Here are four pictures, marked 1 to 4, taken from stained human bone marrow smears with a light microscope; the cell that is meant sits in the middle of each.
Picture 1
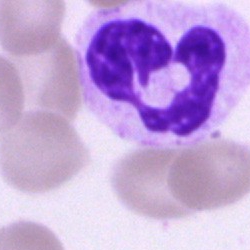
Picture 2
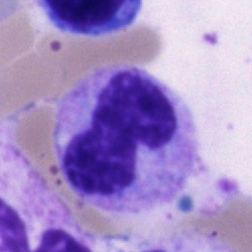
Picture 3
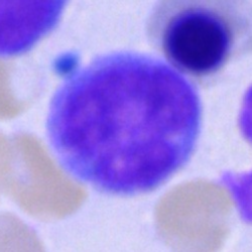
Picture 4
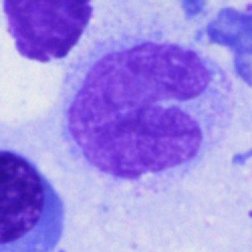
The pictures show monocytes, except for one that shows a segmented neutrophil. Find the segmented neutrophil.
1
